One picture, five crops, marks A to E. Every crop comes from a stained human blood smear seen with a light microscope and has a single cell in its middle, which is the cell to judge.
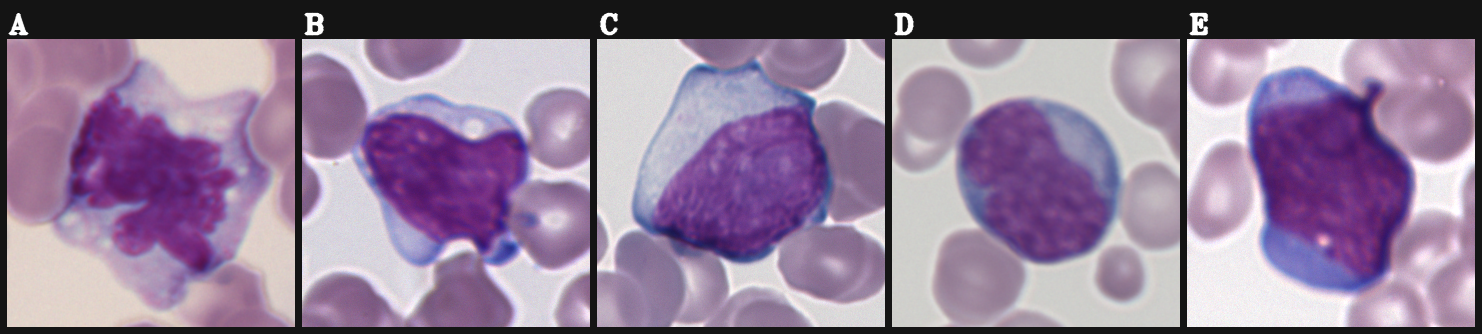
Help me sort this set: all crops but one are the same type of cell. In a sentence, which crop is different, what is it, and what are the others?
The odd one out is crop A, a monocyte, and all other crops show myeloblasts.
